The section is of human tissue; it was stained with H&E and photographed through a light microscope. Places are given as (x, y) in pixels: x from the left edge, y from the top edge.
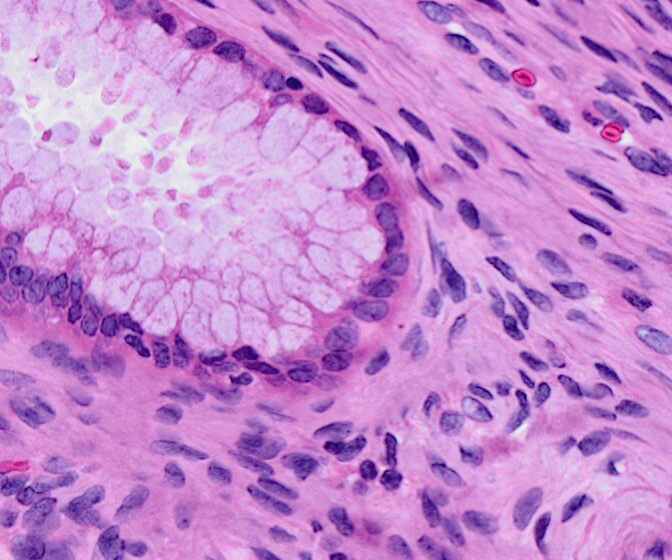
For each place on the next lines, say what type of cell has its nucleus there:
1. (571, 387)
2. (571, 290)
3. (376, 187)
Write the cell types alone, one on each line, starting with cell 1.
fibroblast
fibroblast
secretory epithelial cell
